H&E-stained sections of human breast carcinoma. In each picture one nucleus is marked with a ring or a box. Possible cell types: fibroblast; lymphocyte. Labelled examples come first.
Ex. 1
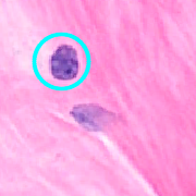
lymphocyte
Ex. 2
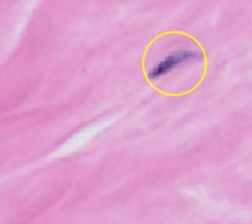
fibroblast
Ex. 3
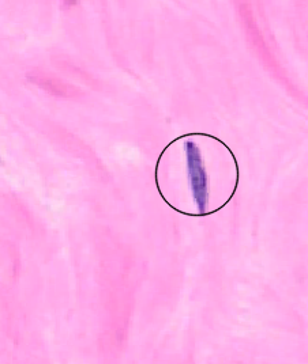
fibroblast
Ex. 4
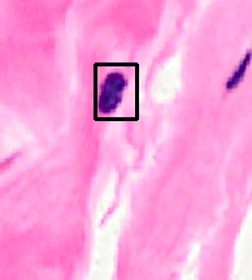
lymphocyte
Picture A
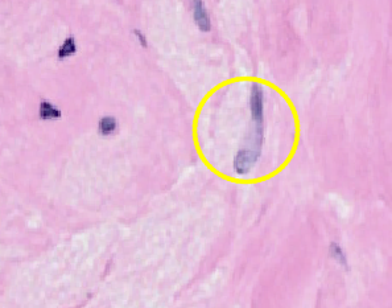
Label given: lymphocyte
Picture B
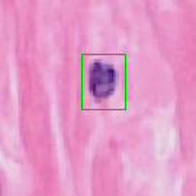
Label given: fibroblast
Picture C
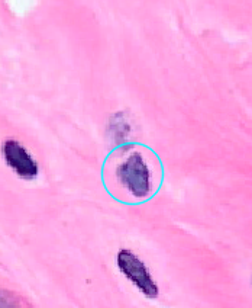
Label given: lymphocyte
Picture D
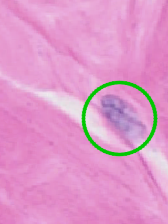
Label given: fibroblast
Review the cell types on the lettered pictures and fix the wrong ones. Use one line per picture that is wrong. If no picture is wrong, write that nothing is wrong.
A should be fibroblast, not lymphocyte
B should be lymphocyte, not fibroblast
